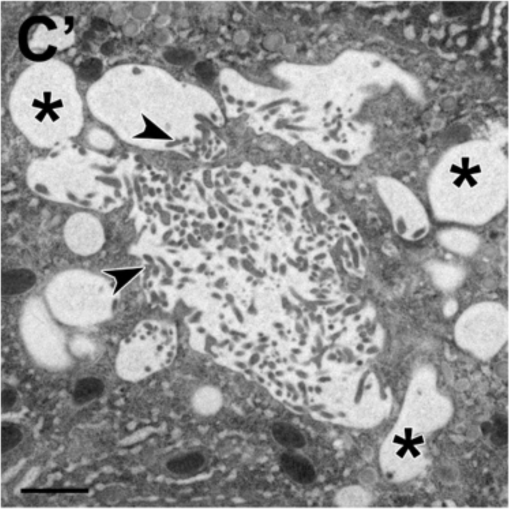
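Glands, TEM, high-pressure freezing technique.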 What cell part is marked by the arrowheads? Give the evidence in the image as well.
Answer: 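Microvilli. A central pale space packed with many small finger-like profiles. The profiles are slender and uniform, cut in various planes.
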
